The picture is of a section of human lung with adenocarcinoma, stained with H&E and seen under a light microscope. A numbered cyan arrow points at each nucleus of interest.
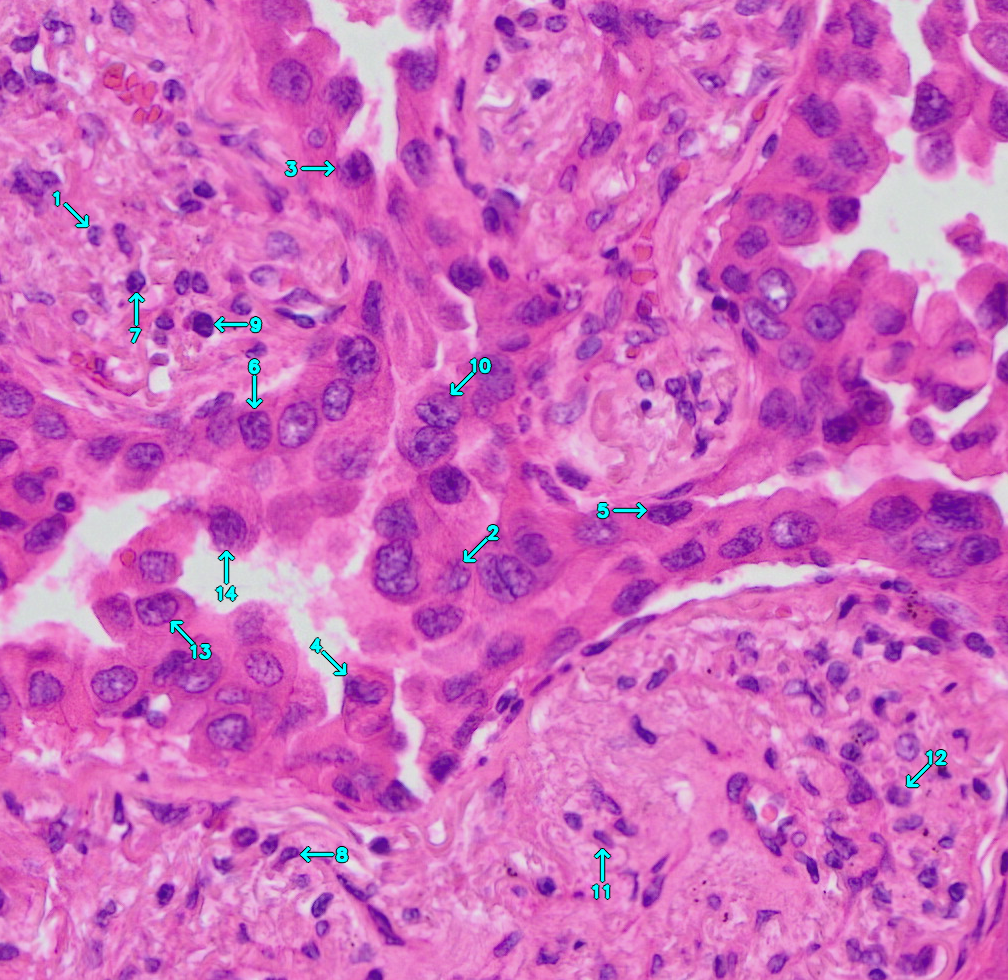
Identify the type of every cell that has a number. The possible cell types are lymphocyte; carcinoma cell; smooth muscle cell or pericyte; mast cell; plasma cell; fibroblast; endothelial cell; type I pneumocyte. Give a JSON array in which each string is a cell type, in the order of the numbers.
["lymphocyte", "carcinoma cell", "carcinoma cell", "carcinoma cell", "carcinoma cell", "carcinoma cell", "plasma cell", "plasma cell", "plasma cell", "carcinoma cell", "smooth muscle cell or pericyte", "plasma cell", "carcinoma cell", "carcinoma cell"]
